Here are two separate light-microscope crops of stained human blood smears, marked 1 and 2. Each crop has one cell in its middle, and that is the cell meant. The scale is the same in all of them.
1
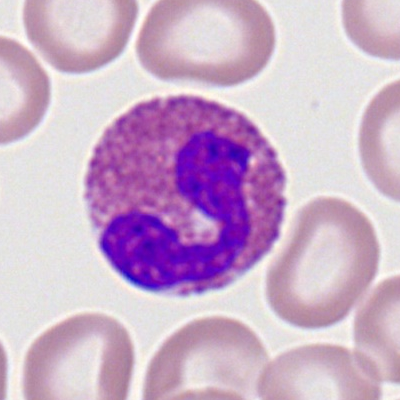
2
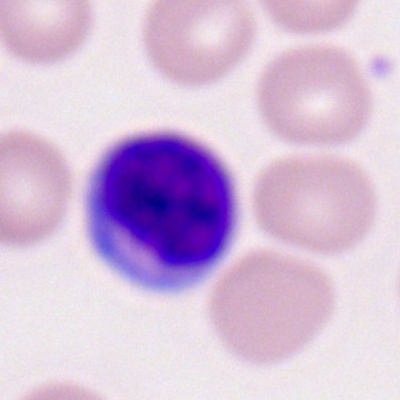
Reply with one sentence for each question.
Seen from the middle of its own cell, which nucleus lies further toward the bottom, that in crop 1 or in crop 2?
The nucleus in crop 1 lies further toward the bottom of its cell.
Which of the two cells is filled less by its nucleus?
The nucleus fills less of the cell in crop 1 than in crop 2.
